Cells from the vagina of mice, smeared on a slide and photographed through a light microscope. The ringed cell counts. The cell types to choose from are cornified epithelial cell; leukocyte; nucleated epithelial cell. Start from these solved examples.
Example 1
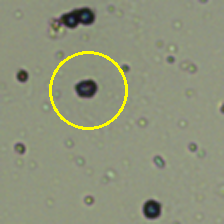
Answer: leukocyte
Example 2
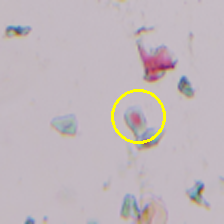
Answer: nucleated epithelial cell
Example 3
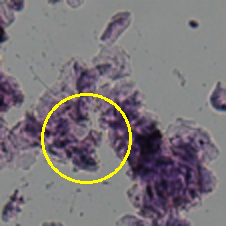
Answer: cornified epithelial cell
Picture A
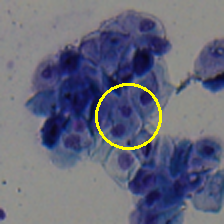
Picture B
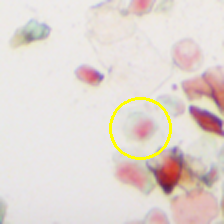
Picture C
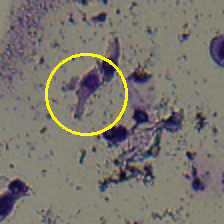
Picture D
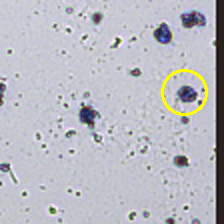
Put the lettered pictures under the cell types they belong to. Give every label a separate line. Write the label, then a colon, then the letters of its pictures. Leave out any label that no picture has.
leukocyte: D
nucleated epithelial cell: A, B, C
